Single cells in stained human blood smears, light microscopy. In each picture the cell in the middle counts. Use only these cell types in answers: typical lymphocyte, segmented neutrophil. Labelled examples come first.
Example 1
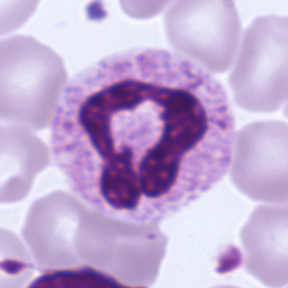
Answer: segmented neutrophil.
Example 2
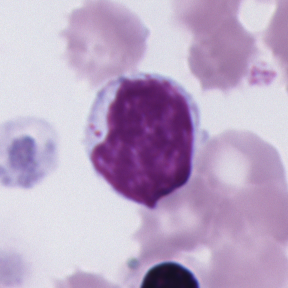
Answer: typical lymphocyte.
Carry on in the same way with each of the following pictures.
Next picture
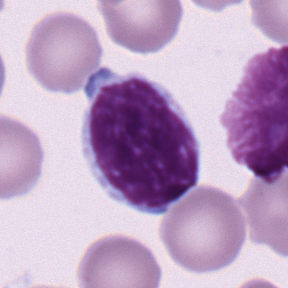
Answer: typical lymphocyte.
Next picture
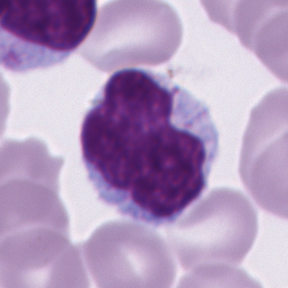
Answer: typical lymphocyte.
